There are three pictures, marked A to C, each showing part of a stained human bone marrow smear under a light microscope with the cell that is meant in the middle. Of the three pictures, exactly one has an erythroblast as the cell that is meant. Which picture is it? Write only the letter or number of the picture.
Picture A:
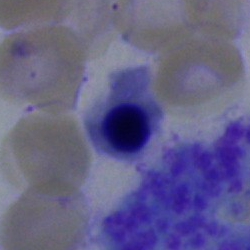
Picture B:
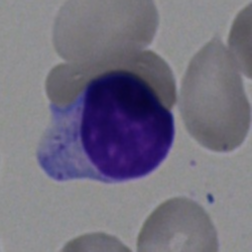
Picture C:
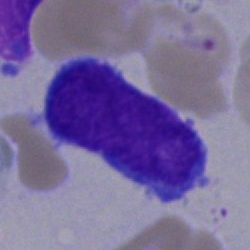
A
